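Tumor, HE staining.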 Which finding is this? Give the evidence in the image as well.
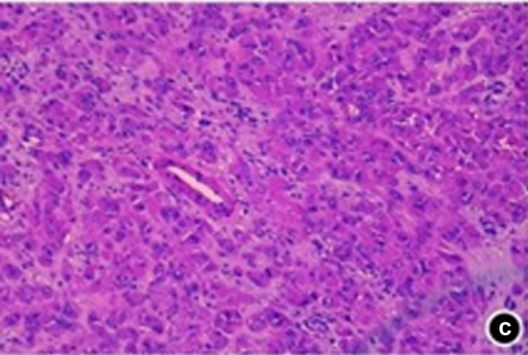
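Rhabdoid pattern. Polygonal cells with abundant pink cytoplasm. Nuclei pushed to one side of many cells.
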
